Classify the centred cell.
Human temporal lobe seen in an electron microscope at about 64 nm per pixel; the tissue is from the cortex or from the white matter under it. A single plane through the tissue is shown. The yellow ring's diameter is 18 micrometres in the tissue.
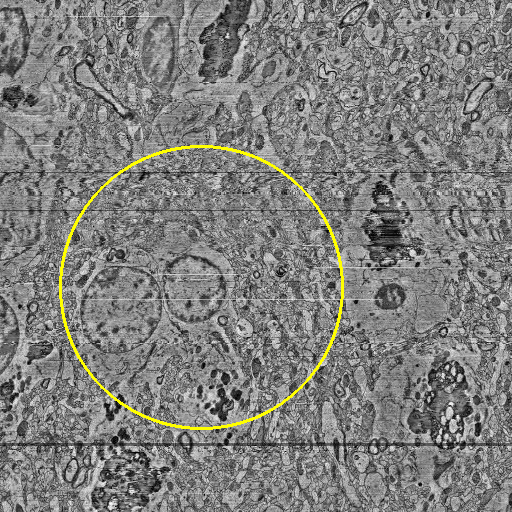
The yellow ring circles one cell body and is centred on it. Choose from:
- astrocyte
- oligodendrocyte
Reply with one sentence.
The ring is centred on an astrocyte.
